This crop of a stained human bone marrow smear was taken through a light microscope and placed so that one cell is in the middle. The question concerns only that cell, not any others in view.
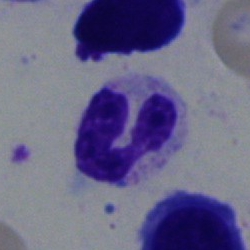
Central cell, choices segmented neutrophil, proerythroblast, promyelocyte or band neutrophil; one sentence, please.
Of the cells in this crop, the central one is a segmented neutrophil.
